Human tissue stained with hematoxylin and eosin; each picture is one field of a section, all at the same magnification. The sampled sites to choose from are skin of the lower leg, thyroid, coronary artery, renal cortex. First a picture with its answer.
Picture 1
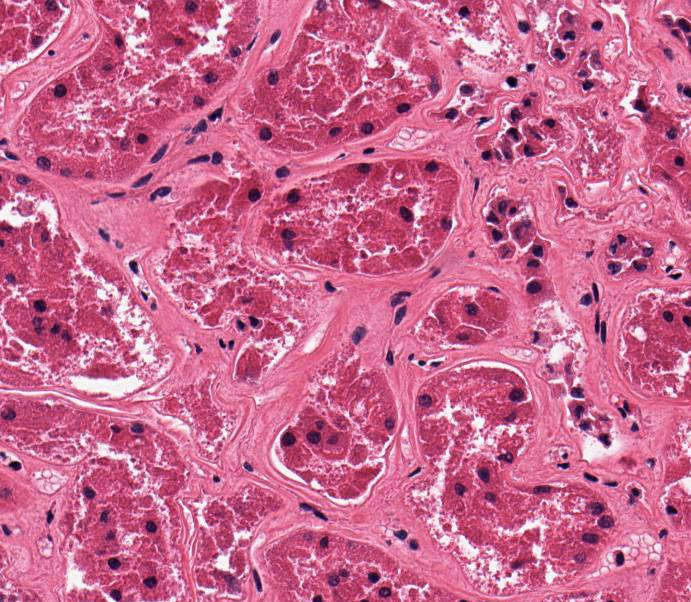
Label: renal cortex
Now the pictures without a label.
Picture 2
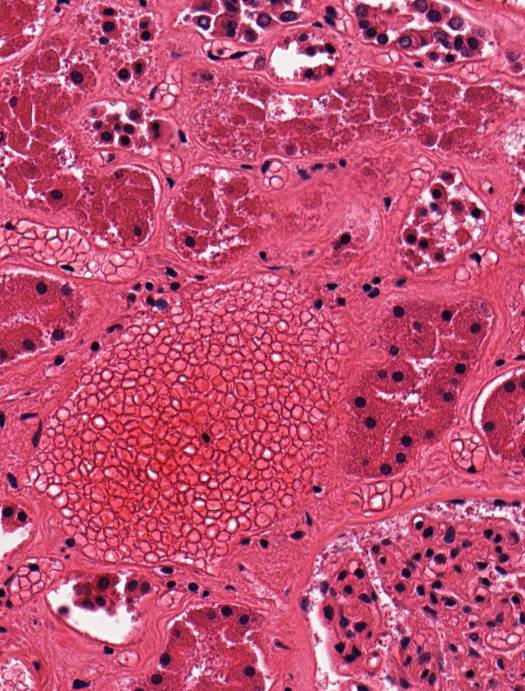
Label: renal cortex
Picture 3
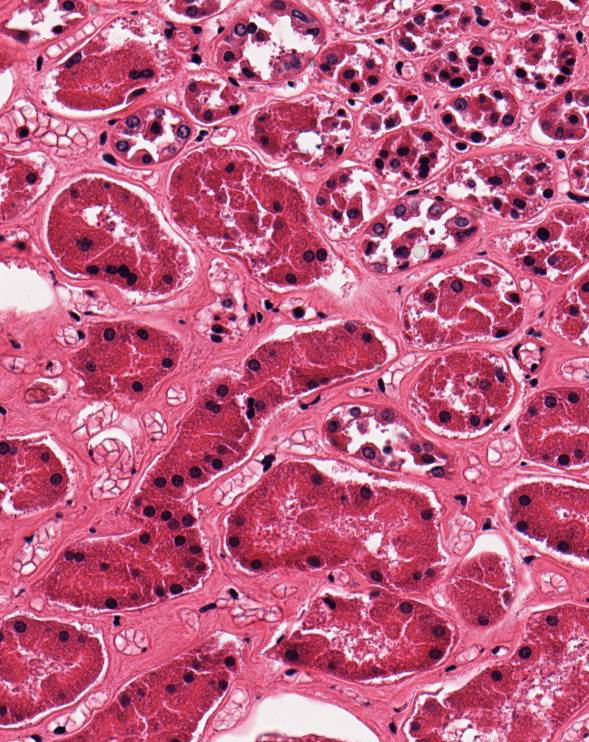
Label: renal cortex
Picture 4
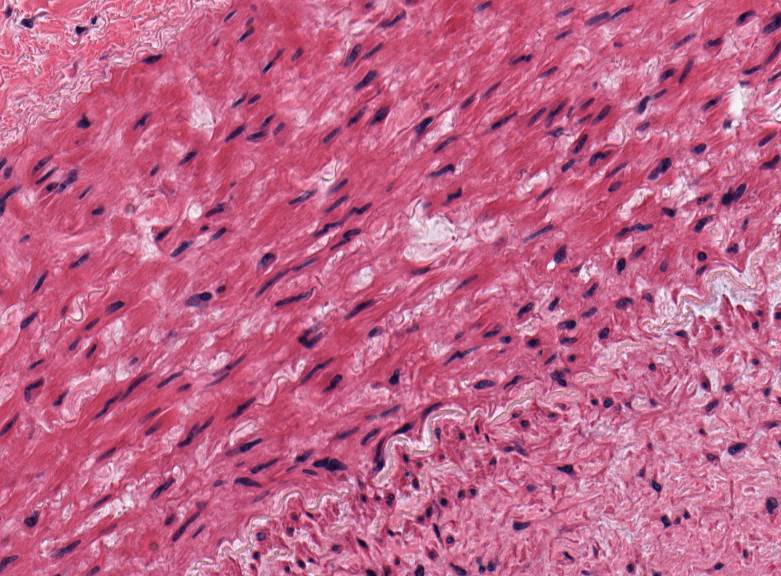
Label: coronary artery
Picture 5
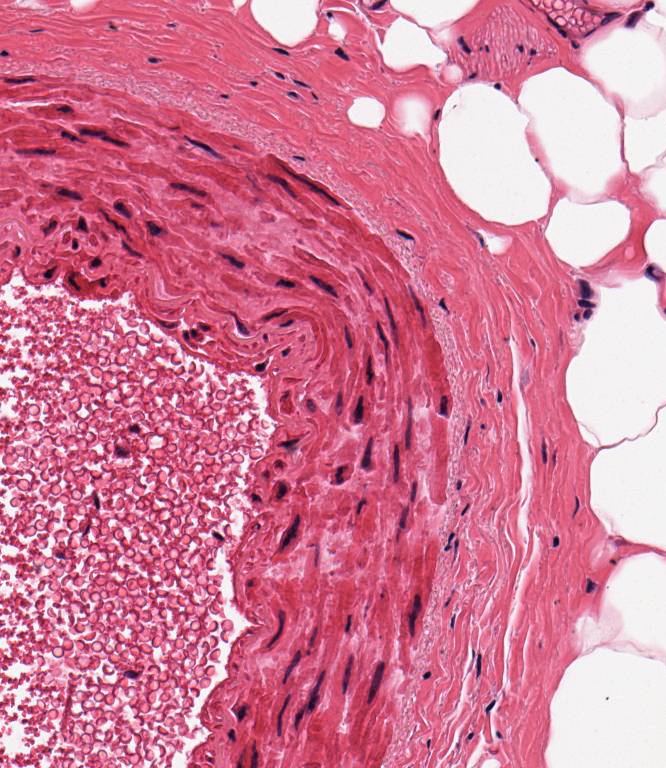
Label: coronary artery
